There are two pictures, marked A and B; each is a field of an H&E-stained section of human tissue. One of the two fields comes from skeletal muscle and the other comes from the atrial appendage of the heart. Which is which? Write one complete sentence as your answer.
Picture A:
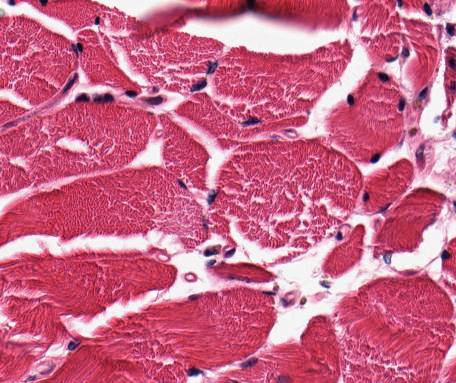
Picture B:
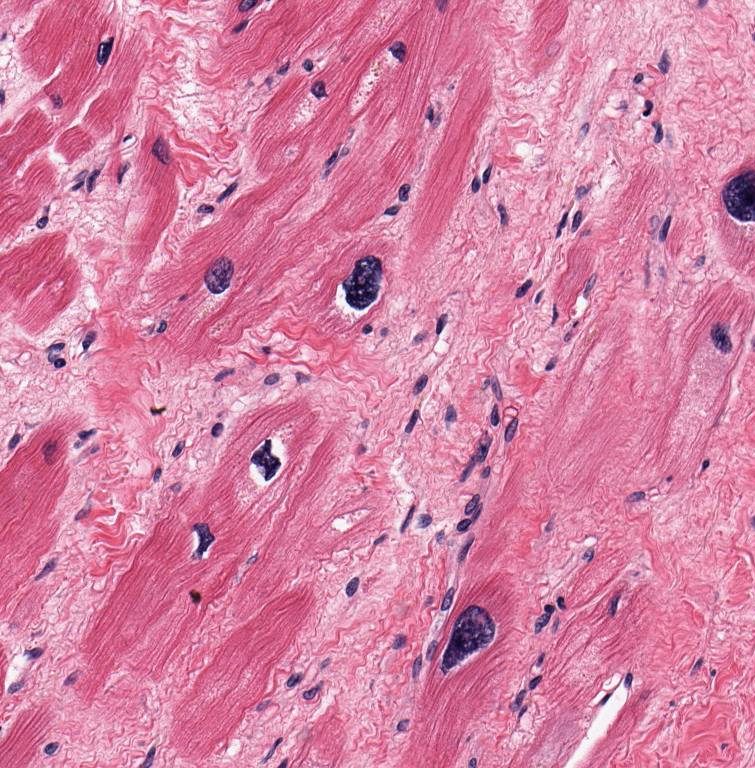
It is picture A that comes from skeletal muscle, and picture B that comes from the atrial appendage of the heart.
